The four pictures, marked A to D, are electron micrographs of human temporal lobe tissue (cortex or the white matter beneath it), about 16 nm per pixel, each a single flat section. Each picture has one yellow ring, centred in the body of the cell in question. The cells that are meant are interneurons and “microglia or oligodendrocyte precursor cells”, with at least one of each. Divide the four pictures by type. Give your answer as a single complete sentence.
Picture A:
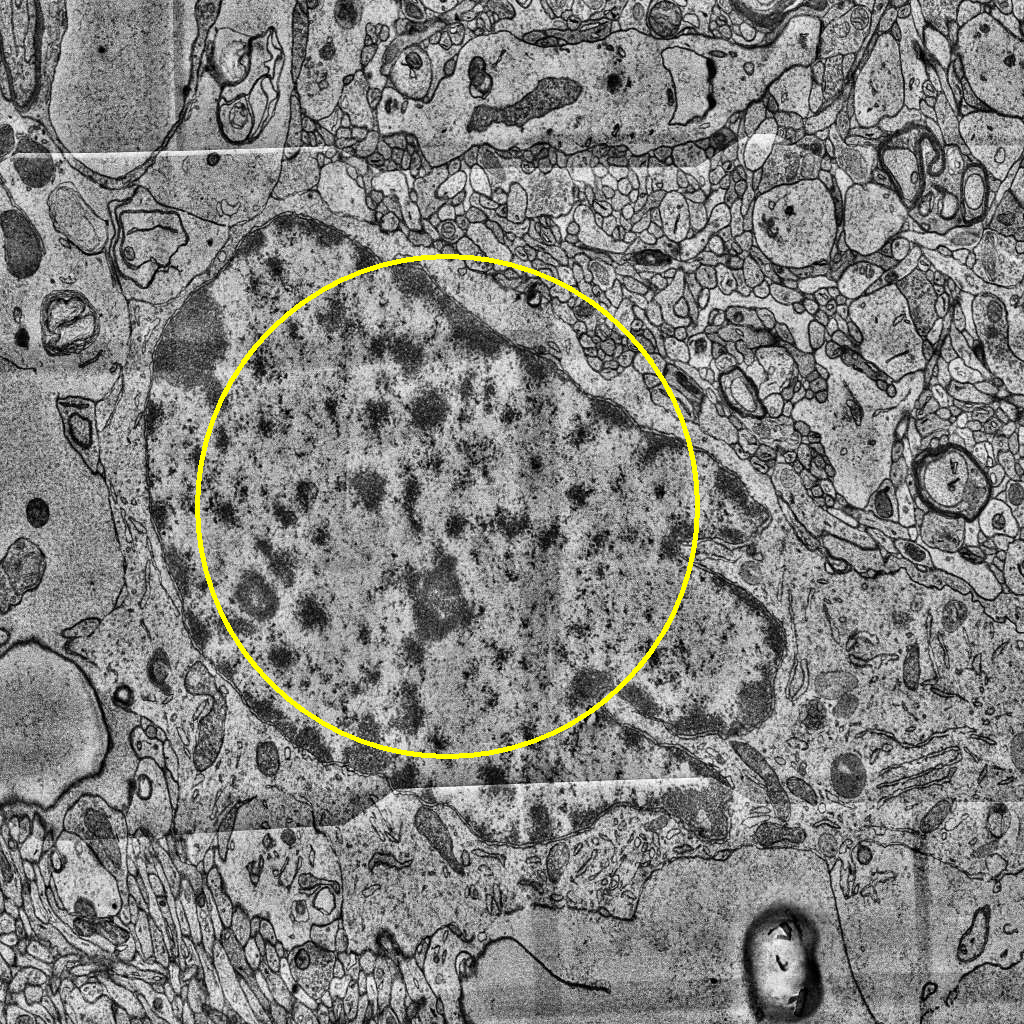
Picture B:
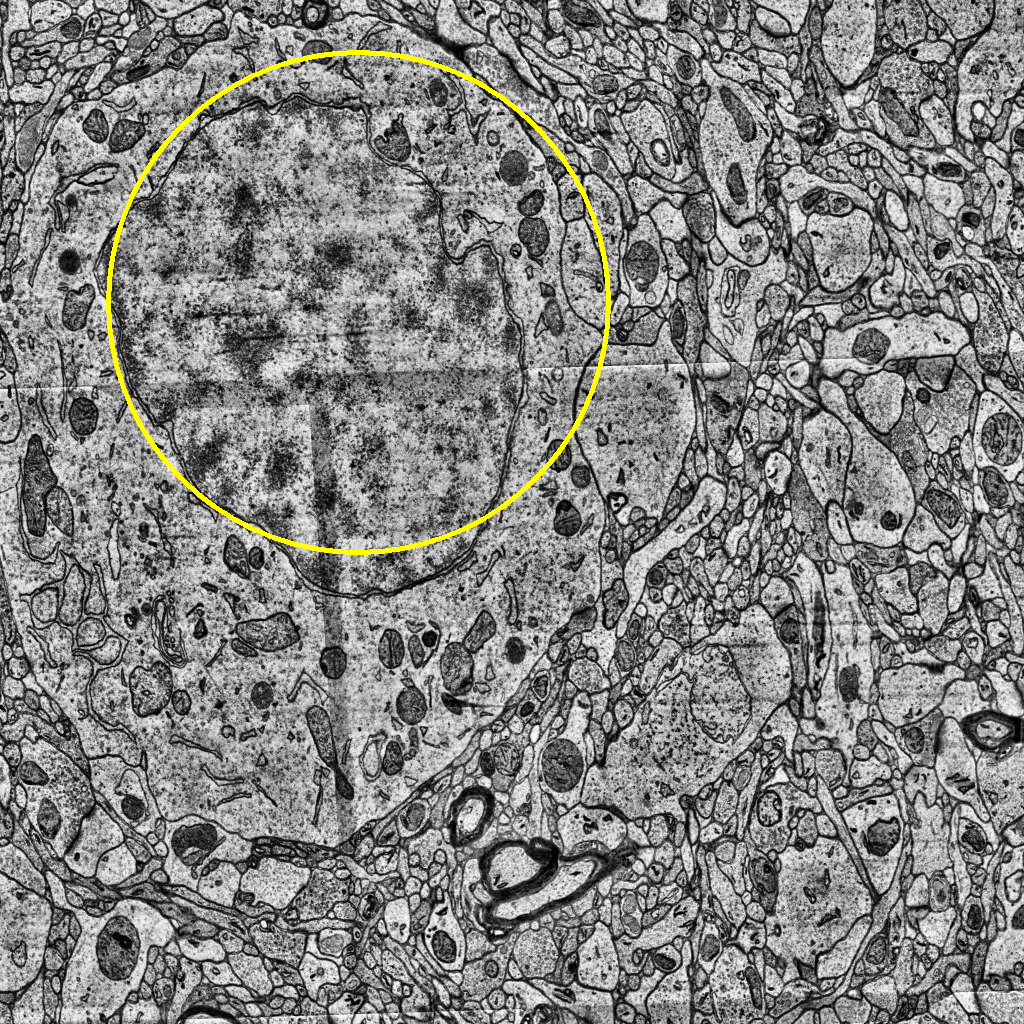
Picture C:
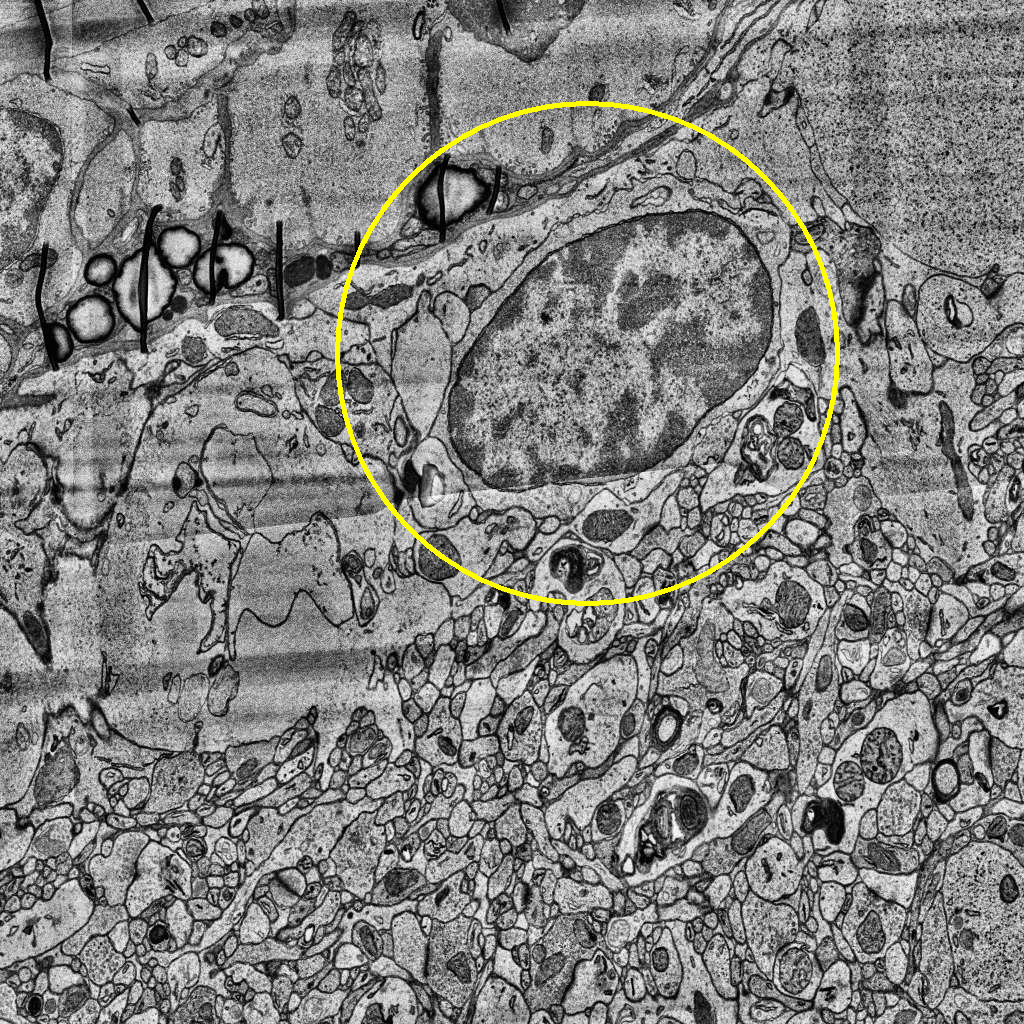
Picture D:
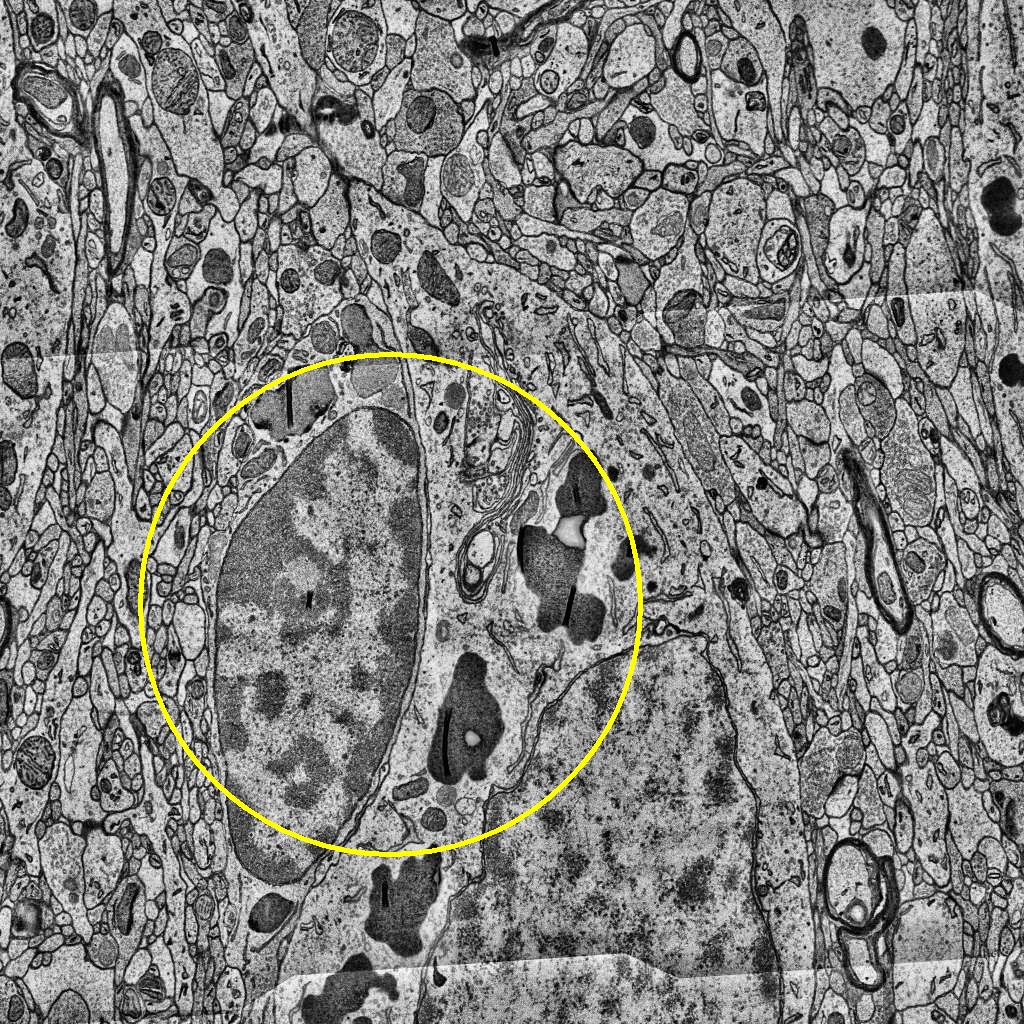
Picture B shows an interneuron; pictures A, C and D show “microglia or oligodendrocyte precursor cells”.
